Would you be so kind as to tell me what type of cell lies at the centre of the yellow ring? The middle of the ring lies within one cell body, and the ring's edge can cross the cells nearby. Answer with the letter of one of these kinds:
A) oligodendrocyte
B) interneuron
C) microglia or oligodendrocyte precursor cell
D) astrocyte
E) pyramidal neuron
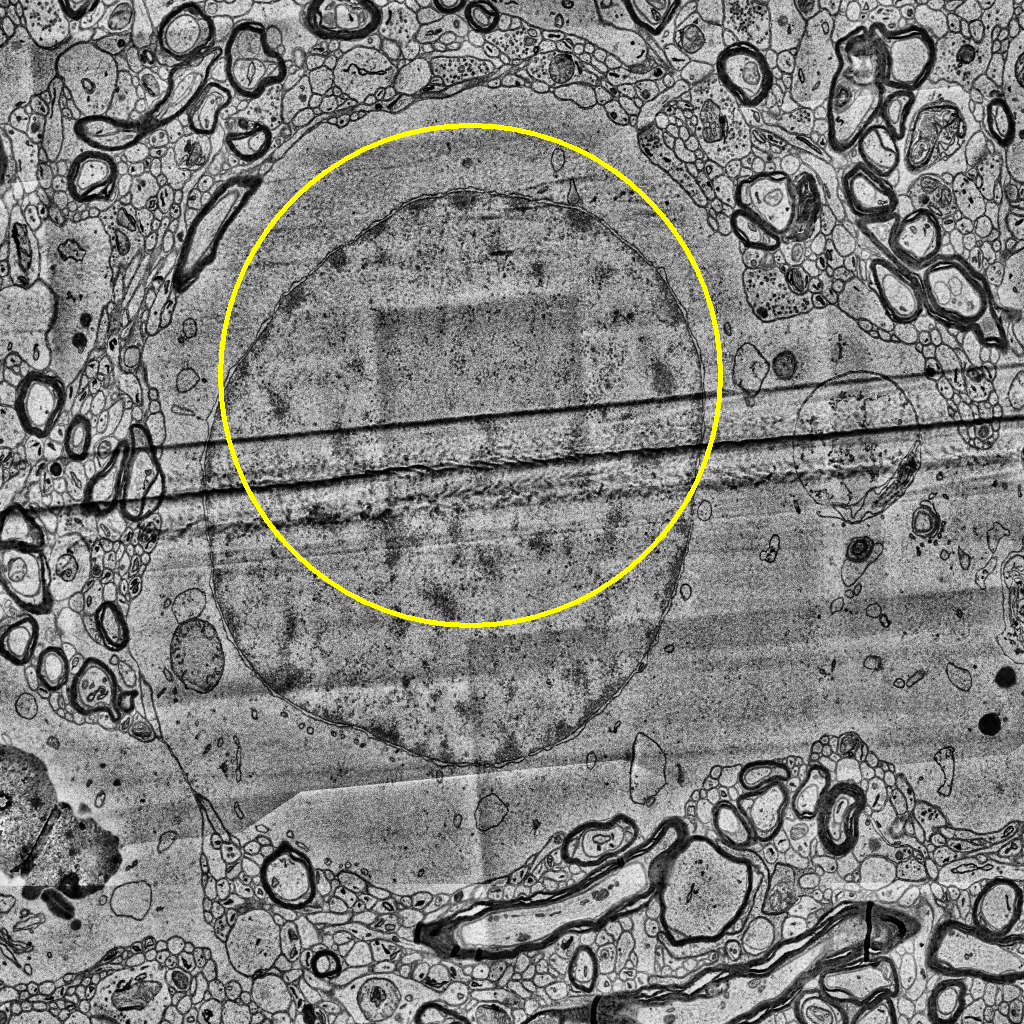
D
